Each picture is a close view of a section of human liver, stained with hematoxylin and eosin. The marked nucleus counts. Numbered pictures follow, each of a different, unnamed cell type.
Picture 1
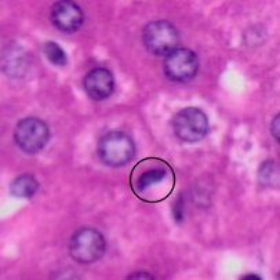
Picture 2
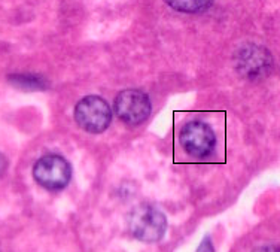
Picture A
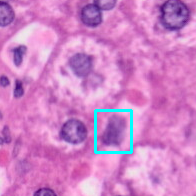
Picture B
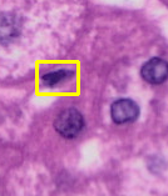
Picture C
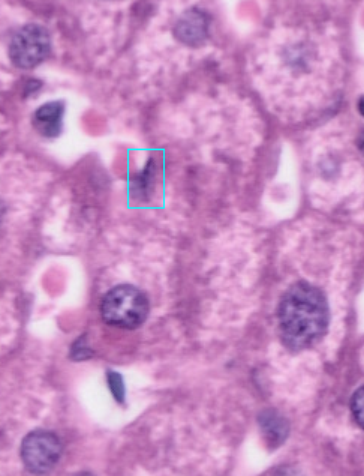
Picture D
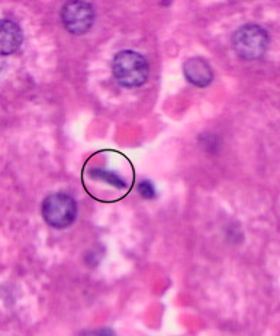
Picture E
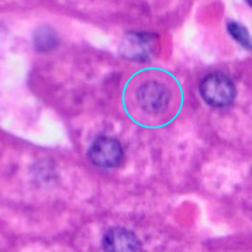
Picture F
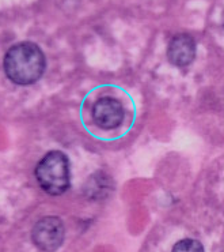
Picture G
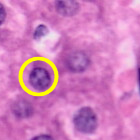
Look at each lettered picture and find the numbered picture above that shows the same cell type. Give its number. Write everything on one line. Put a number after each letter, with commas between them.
A 1, B 1, C 1, D 1, E 2, F 2, G 2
